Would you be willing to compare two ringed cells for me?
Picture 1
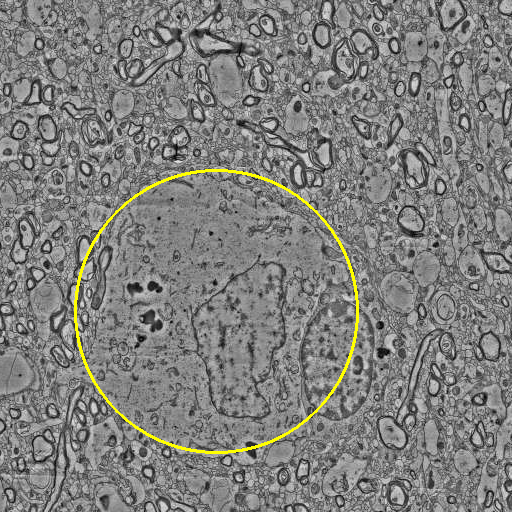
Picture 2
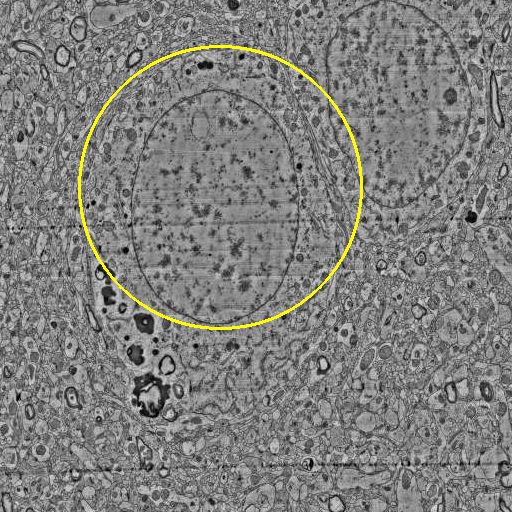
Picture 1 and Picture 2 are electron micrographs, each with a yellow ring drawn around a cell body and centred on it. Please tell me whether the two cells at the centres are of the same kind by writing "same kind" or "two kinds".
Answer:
same kind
